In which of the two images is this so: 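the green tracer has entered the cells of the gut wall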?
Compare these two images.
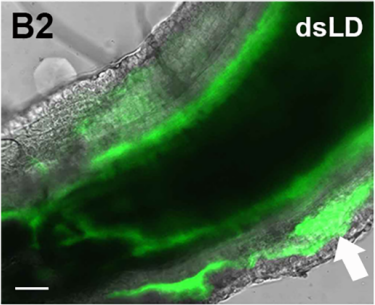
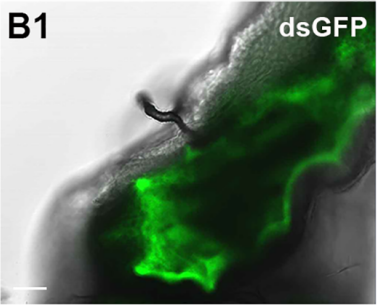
The first image.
